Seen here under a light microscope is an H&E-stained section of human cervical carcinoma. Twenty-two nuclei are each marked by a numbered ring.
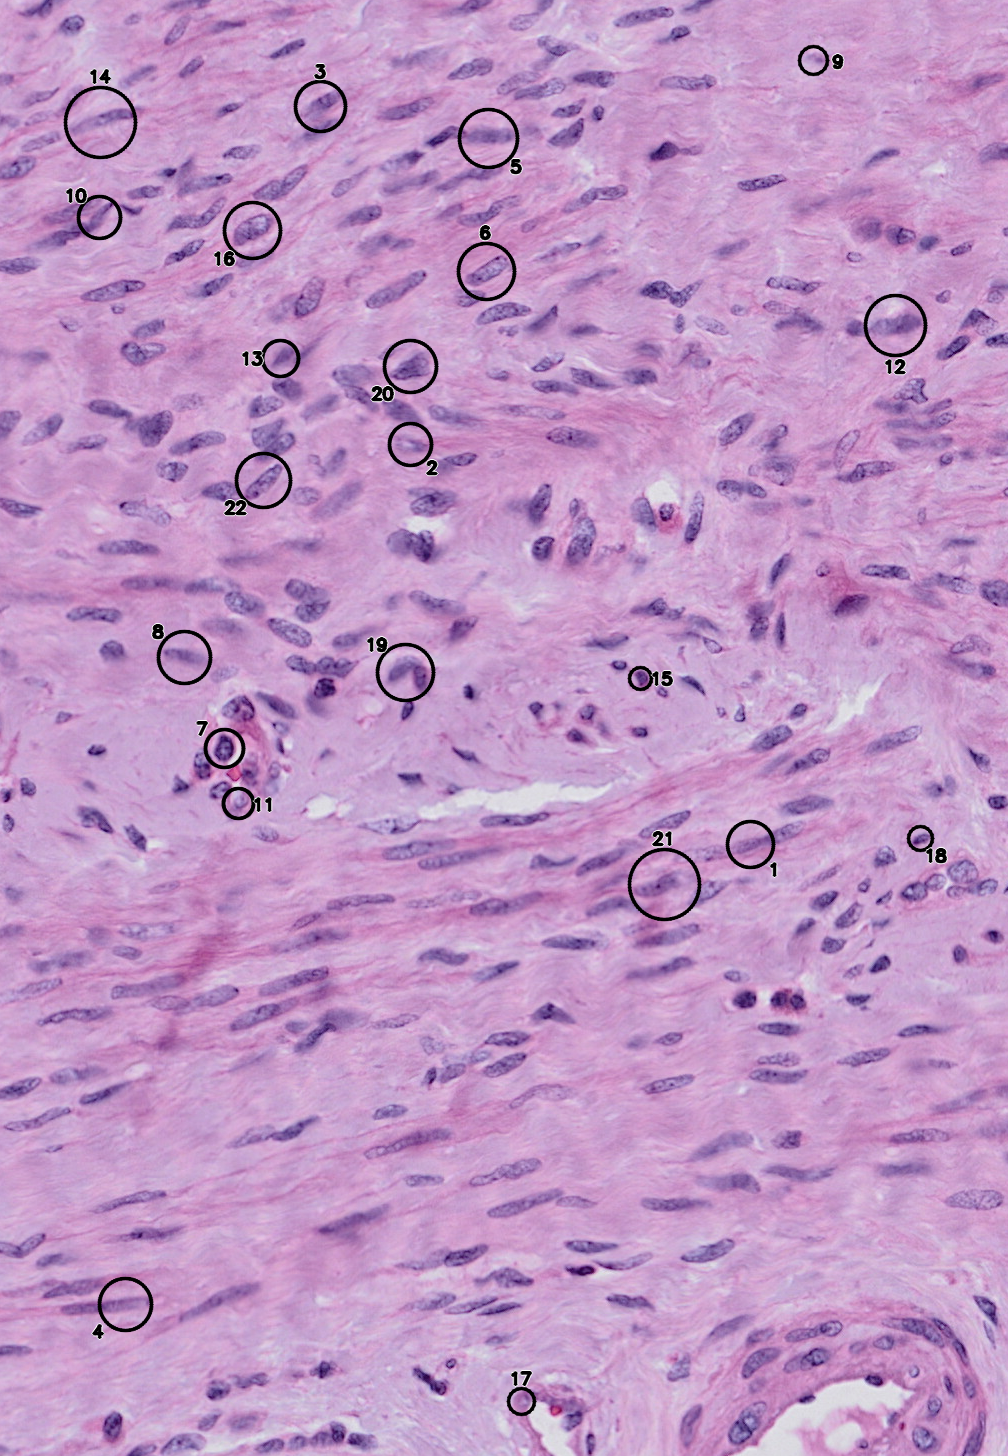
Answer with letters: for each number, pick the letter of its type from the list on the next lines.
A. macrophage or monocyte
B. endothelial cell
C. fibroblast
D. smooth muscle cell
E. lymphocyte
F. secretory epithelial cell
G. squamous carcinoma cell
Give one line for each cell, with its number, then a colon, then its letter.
1: D
2: D
3: D
4: D
5: C
6: D
7: B
8: C
9: C
10: D
11: B
12: C
13: C
14: D
15: D
16: D
17: B
18: D
19: C
20: C
21: D
22: C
